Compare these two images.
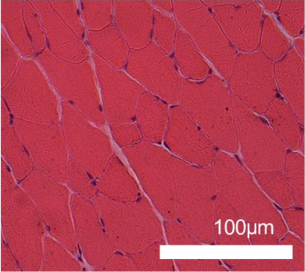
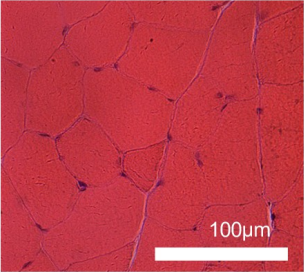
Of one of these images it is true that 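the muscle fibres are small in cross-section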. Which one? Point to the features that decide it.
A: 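First image: many small, angular fibre profiles fill the field, with more boundaries between them. Second image: fewer, clearly larger polygonal fibre profiles fill the same field.
Conclusion: the first image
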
